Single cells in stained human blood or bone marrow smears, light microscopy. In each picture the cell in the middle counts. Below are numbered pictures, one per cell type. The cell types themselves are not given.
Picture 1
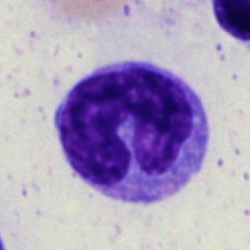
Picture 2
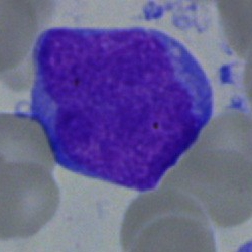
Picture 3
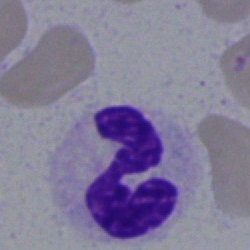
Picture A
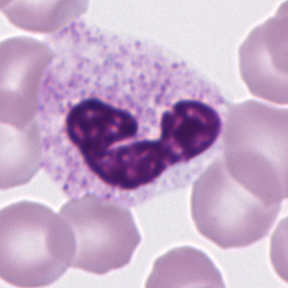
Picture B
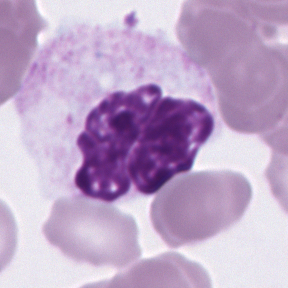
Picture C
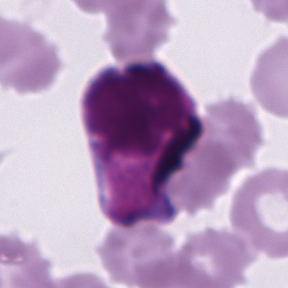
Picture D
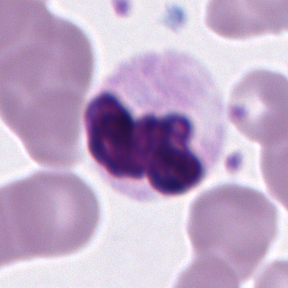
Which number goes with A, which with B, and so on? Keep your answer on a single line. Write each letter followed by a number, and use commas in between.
A 3, B 3, C 2, D 3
